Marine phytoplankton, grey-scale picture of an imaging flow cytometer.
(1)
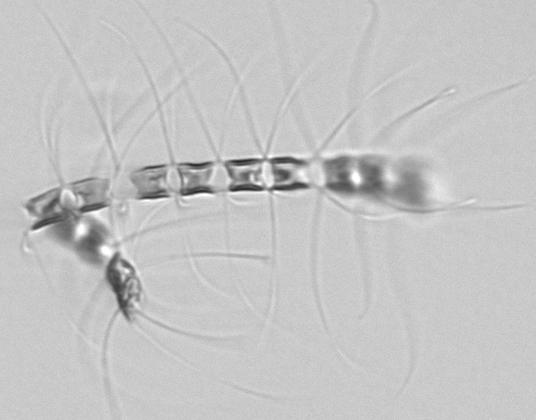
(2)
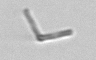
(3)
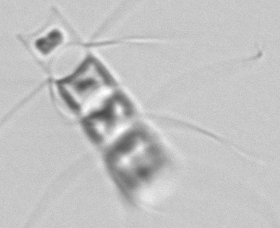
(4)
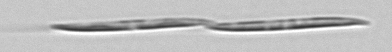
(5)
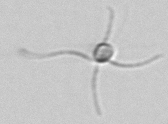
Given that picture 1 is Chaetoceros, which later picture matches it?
3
